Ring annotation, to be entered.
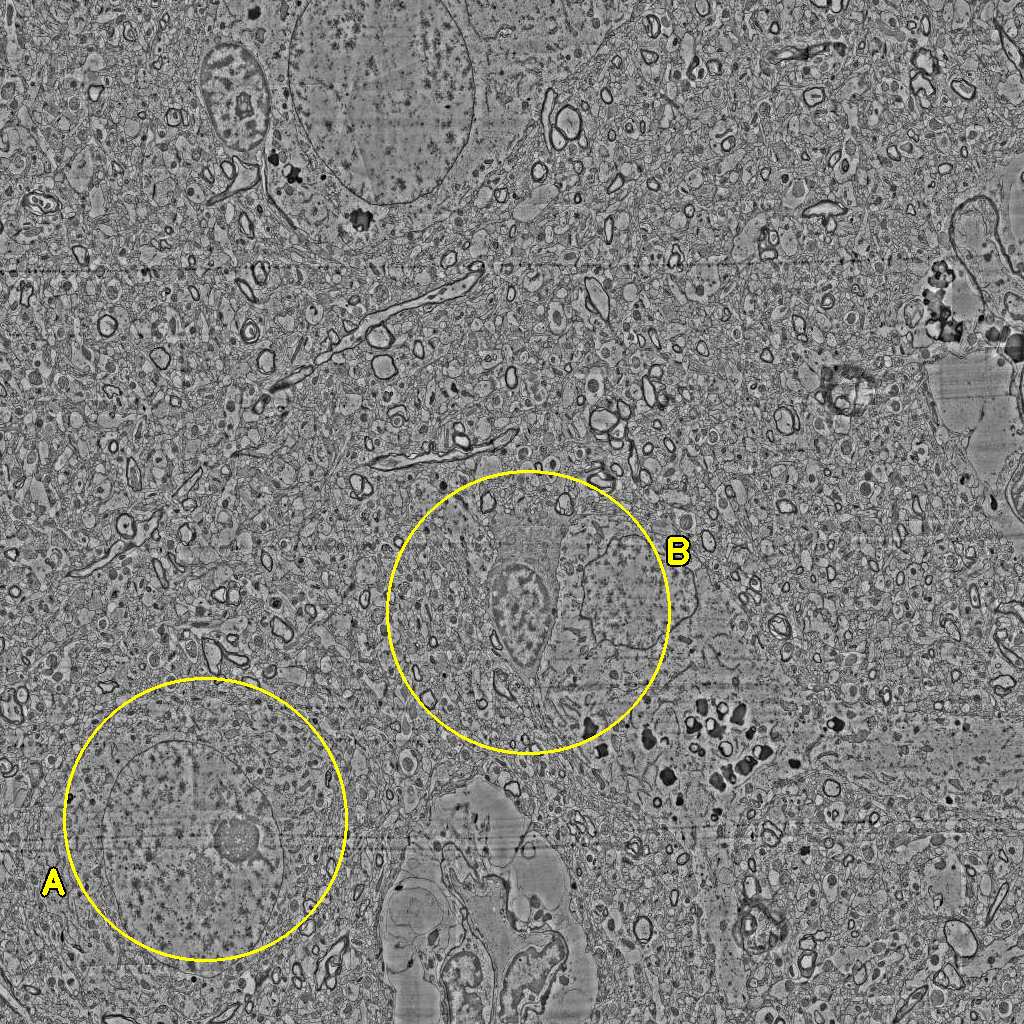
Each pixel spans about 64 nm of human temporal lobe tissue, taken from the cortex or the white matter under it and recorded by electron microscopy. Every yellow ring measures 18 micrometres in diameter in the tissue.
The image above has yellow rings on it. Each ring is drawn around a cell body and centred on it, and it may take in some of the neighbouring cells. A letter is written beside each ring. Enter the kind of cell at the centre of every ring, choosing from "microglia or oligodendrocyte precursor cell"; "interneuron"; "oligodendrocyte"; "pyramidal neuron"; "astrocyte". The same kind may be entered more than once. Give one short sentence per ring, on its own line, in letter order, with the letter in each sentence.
The ring marked A is centred on a pyramidal neuron.
The ring marked B is centred on an oligodendrocyte.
